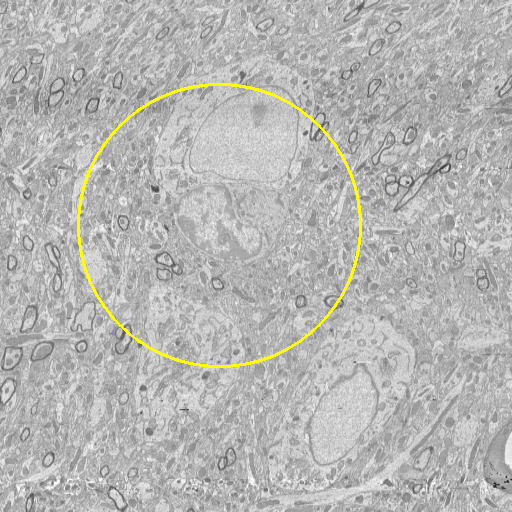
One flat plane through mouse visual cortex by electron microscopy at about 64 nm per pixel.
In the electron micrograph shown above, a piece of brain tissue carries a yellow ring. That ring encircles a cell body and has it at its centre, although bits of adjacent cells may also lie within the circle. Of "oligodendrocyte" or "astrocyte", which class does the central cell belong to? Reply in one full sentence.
The cell body at the centre of the yellow ring belongs to an oligodendrocyte.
